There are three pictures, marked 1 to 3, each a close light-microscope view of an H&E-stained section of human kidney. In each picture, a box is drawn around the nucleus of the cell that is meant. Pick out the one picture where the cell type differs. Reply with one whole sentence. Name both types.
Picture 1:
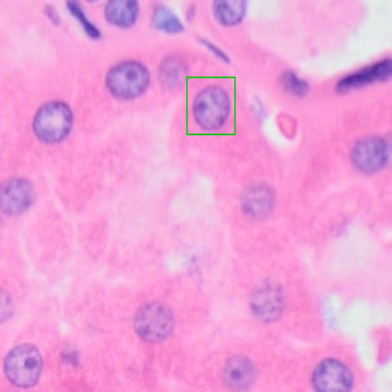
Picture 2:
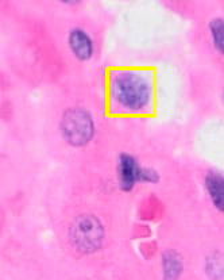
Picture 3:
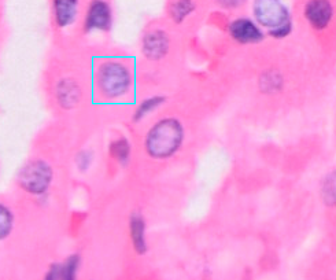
The others show “loop of Henle or distal tubule cells”, but picture 1 shows a proximal tubule cell.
